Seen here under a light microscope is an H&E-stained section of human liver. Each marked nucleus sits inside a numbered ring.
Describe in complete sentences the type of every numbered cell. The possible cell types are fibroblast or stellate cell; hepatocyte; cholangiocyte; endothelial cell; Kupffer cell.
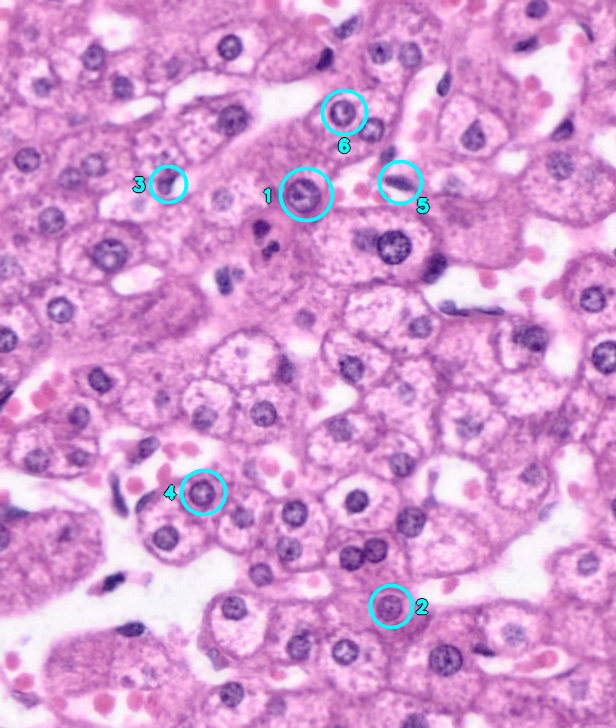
Cells 1, 2, 4 and 6 are hepatocytes. Cell 3 is an endothelial cell. Cell 5 is a Kupffer cell.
